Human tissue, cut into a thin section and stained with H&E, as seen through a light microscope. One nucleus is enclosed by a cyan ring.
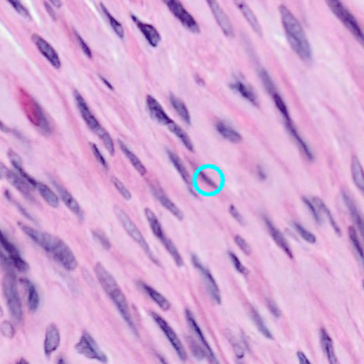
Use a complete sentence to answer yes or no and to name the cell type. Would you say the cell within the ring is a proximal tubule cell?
No, the cell within the ring is correctly named a smooth muscle cell; it is not a proximal tubule cell.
